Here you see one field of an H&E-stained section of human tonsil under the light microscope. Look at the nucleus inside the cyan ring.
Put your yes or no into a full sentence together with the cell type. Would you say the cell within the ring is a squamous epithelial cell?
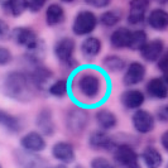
No, that is wrong: the cell within the ring is a small lymphocyte, not a squamous epithelial cell.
